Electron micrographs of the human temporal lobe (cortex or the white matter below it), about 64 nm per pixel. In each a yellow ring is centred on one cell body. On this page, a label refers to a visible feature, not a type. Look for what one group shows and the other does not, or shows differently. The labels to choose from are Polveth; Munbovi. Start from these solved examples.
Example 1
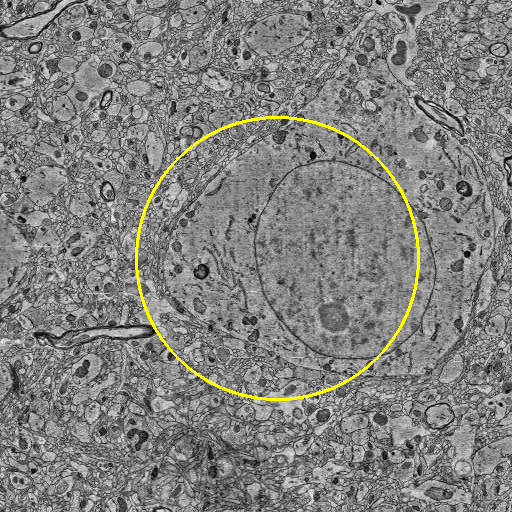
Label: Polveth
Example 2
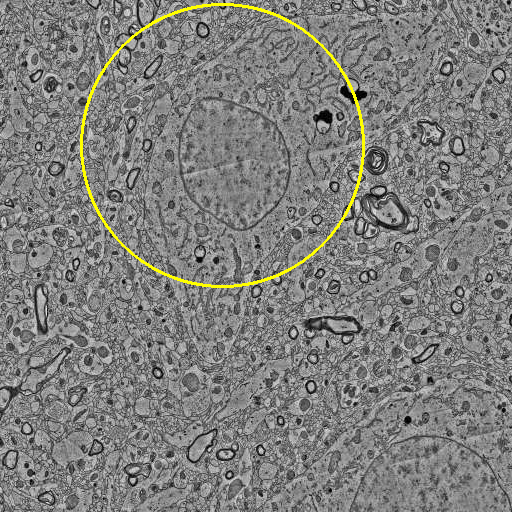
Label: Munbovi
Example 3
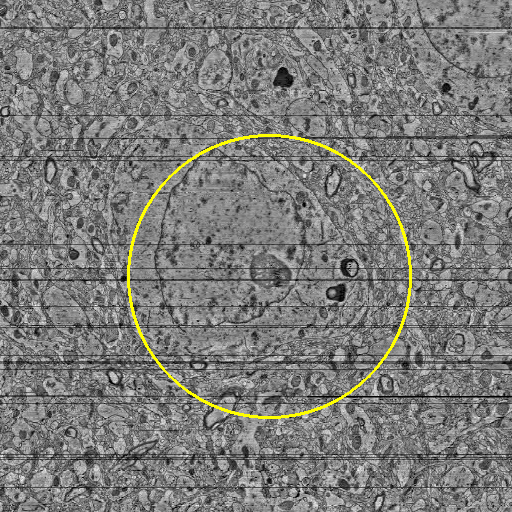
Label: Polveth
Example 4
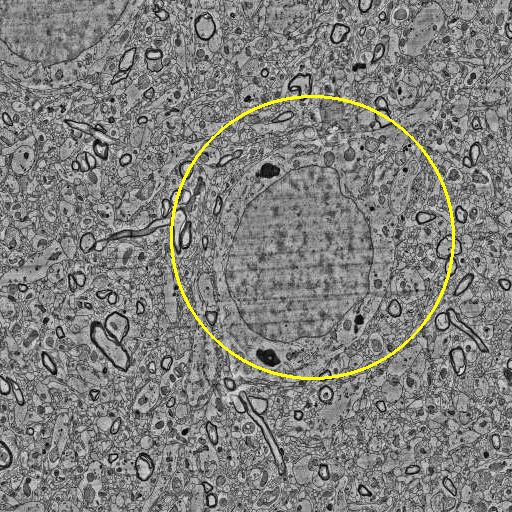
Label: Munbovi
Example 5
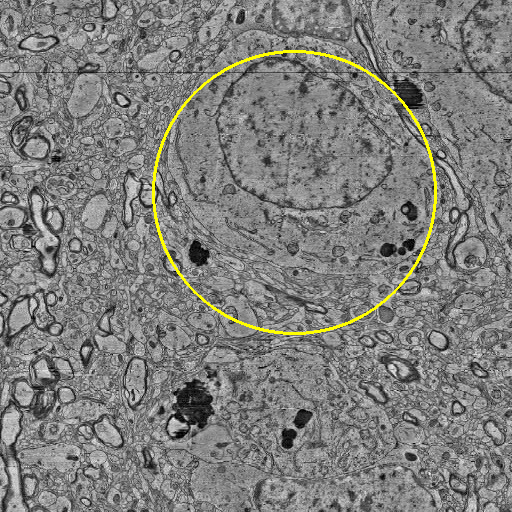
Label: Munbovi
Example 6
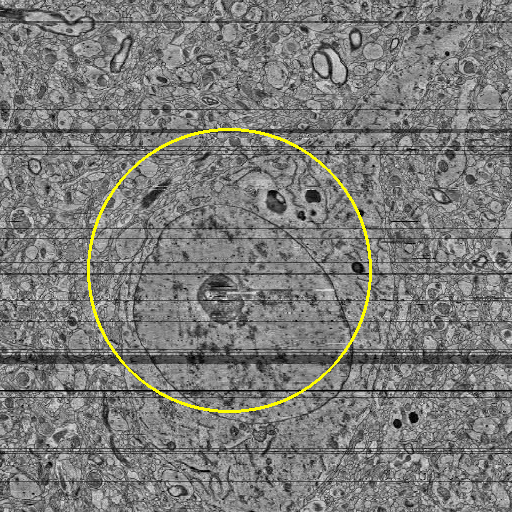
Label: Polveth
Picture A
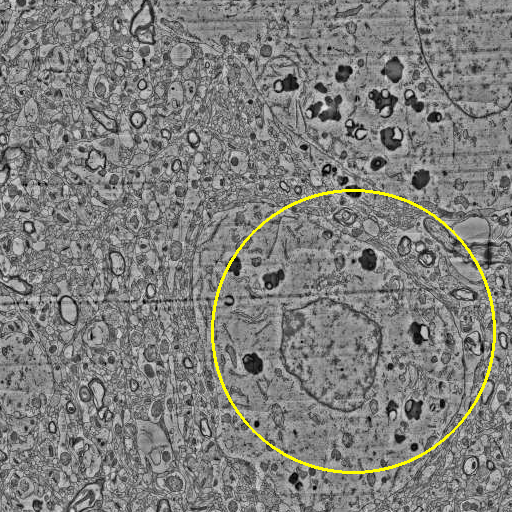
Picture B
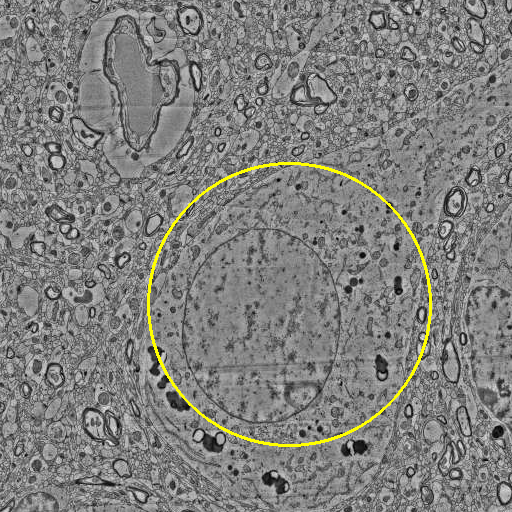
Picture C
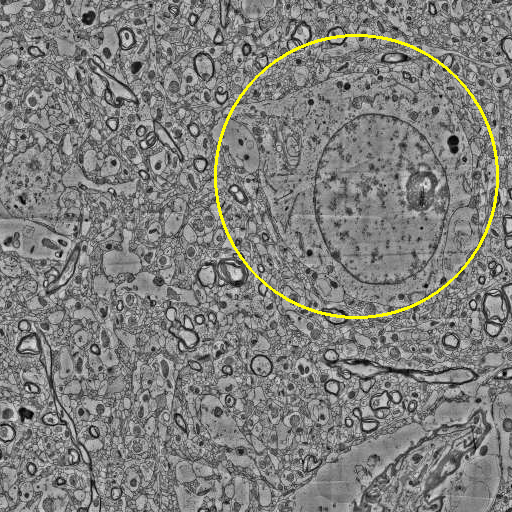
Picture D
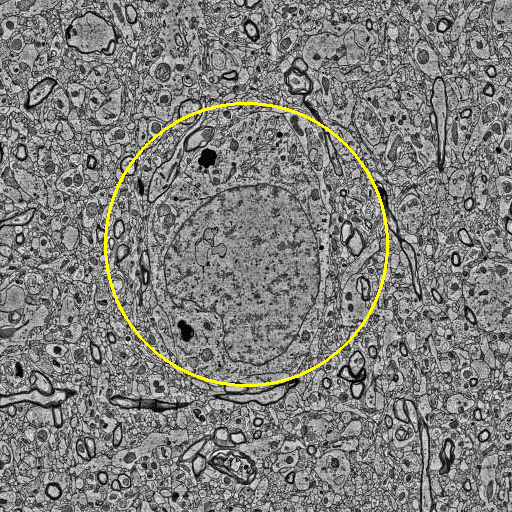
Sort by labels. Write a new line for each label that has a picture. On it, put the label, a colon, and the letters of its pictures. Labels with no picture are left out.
Polveth: C
Munbovi: A, B, D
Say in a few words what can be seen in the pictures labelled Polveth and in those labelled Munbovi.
Polveth, nucleolus seen; Munbovi, no nucleolus seen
